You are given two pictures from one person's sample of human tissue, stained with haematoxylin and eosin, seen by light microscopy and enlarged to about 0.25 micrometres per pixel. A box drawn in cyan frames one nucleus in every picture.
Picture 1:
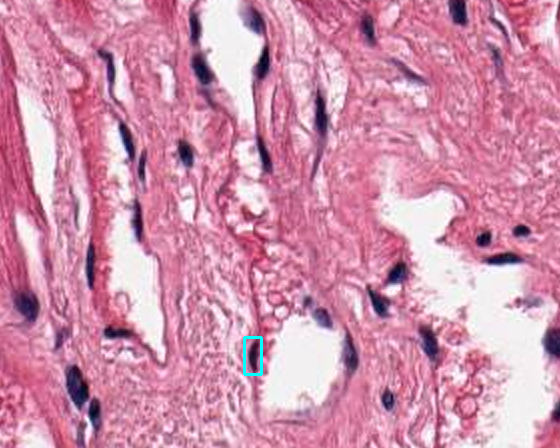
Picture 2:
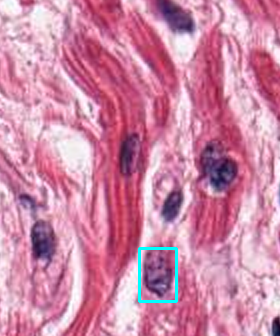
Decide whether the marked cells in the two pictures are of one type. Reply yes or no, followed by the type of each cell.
No, the first is an endothelial cell and the second a cardiomyocyte.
